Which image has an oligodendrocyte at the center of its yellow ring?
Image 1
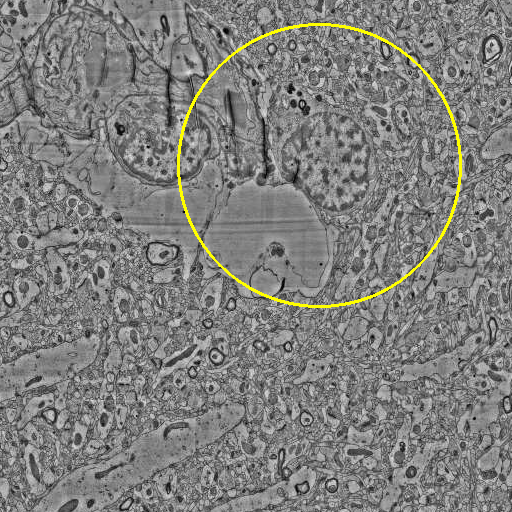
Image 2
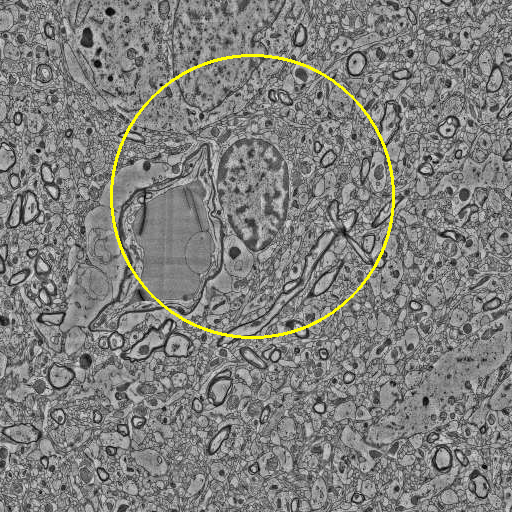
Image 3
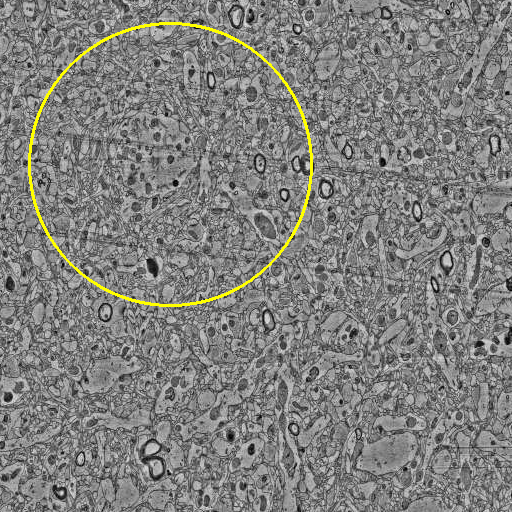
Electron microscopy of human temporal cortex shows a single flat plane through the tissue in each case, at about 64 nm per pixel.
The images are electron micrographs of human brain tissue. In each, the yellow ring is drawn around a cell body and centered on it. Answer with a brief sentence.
It is at the center of the ring in Image 1.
